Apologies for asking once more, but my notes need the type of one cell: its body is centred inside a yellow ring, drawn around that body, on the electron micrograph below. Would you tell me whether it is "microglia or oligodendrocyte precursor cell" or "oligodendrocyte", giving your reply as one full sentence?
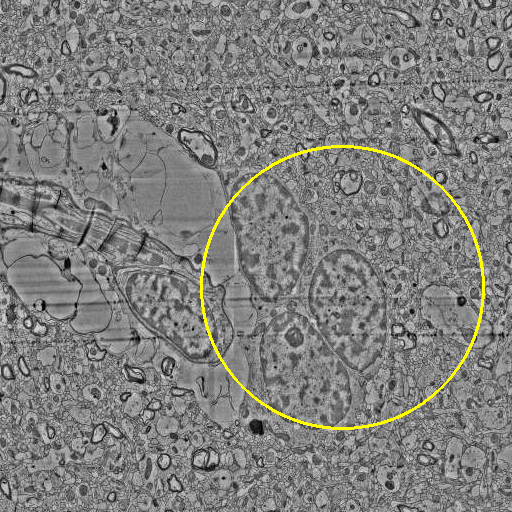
The cell that the yellow ring is centred on is an oligodendrocyte in this micrograph.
